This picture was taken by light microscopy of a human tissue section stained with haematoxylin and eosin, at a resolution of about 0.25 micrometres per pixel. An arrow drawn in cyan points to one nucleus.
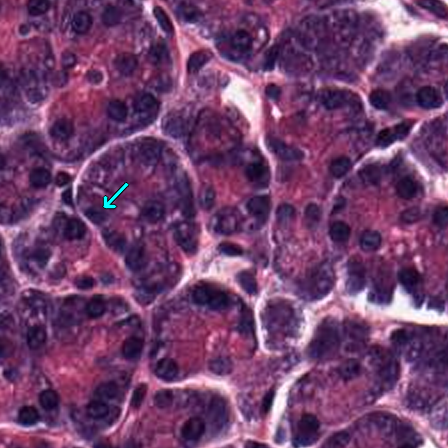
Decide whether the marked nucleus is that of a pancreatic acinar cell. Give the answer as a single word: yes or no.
yes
